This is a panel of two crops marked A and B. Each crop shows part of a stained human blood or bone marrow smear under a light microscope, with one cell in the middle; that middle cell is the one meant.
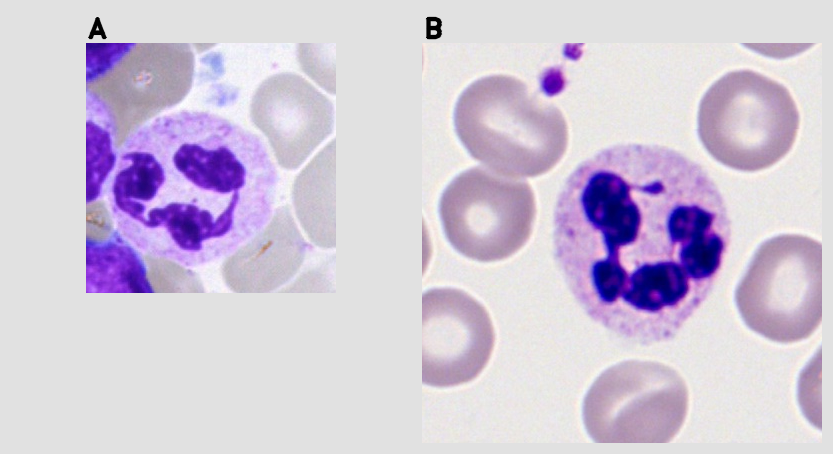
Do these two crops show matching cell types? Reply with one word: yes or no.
yes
